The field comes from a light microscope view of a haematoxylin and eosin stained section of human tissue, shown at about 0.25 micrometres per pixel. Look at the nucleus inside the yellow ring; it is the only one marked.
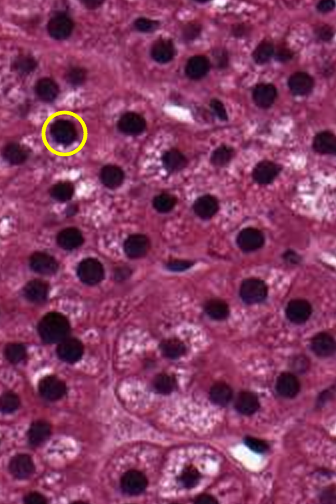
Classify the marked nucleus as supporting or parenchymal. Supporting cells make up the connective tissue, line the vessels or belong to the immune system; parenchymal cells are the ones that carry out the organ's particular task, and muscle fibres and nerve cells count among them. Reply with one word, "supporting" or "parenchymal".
parenchymal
